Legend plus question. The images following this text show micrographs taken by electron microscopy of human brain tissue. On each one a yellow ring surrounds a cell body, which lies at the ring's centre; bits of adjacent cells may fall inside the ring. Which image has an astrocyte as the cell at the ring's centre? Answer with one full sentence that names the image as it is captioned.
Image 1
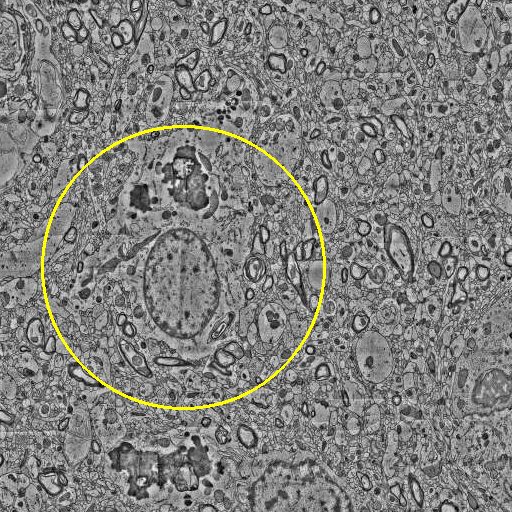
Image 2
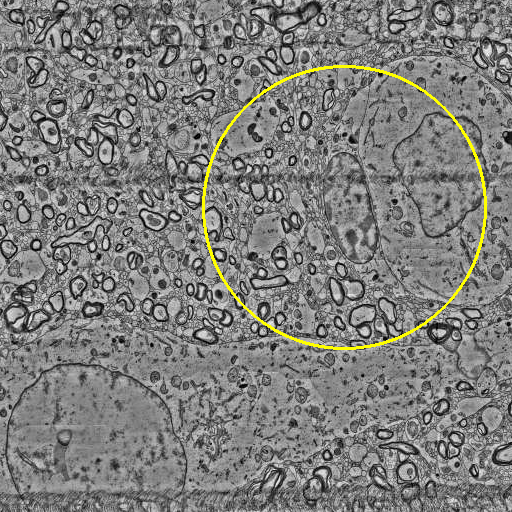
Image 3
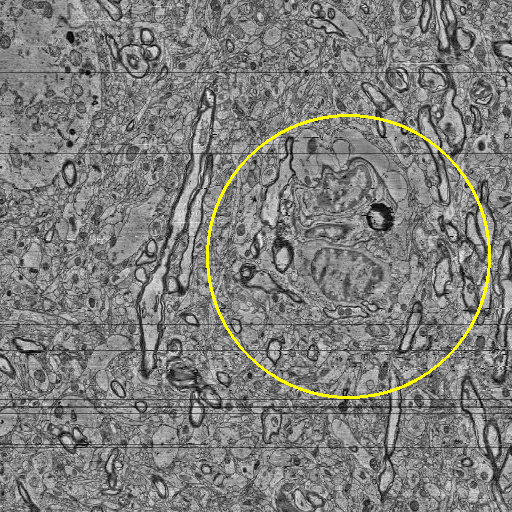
The centred cell that was asked for is the one in Image 1.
